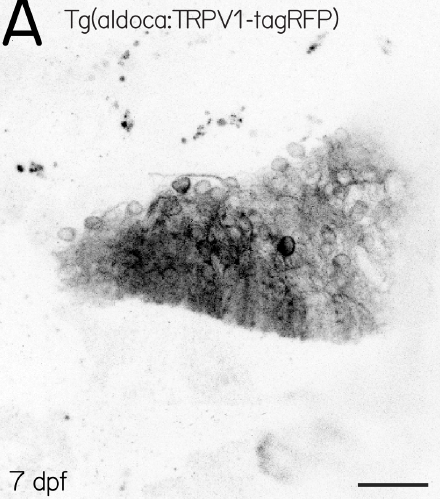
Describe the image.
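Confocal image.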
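Purkinje cells of the cerebellum form a compact labelled region, with rounded, ring-shaped cell bodies lined up mainly along its upper edge. Beneath them a dense, darker meshwork of labelled processes fills the lower part of the region.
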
